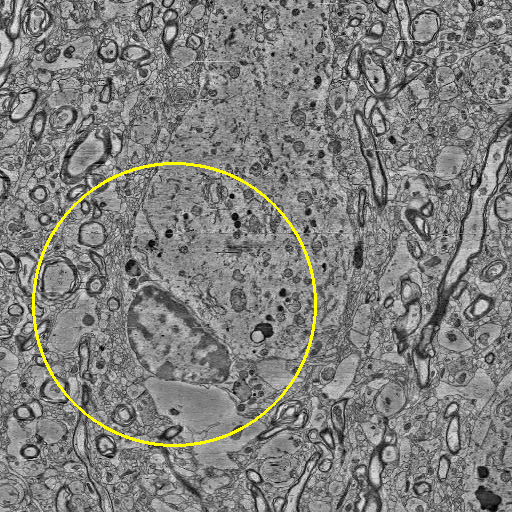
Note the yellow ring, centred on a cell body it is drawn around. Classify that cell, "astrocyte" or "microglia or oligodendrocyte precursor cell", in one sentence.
The cell the ring is centred on is a microglial cell or oligodendrocyte precursor cell.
